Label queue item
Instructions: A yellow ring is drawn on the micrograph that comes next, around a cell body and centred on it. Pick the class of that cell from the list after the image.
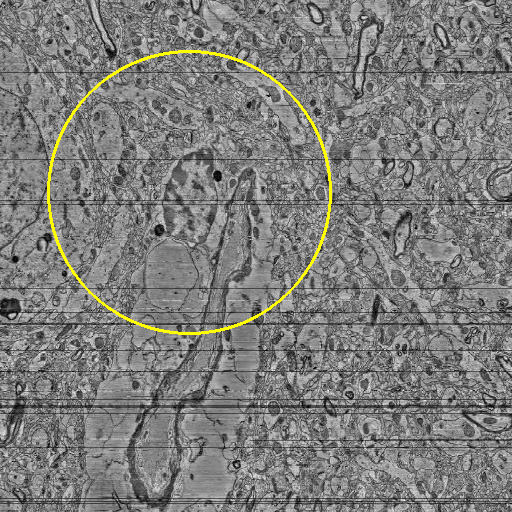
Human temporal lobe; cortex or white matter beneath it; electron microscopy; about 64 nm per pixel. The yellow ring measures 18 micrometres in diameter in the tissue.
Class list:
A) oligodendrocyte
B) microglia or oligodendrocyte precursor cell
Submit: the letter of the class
B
